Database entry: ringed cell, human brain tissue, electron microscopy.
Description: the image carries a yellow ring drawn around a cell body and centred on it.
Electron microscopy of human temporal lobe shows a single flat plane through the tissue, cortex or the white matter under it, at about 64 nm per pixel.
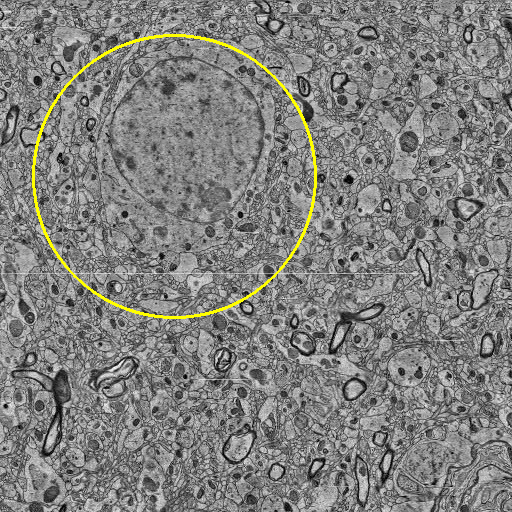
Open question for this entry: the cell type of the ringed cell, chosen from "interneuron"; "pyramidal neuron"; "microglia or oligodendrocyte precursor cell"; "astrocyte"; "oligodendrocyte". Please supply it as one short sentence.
The ringed cell is an interneuron.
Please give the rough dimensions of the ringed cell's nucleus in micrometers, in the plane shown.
Approximately 11 micrometres across in this plane.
